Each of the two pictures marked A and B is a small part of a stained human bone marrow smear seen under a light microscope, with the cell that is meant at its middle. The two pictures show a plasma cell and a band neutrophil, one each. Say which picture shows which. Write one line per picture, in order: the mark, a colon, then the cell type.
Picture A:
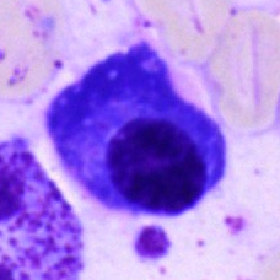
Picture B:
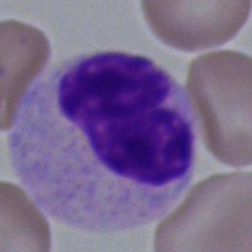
A: plasma cell
B: band neutrophil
